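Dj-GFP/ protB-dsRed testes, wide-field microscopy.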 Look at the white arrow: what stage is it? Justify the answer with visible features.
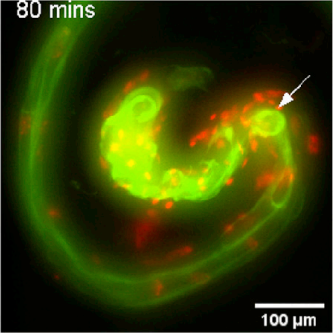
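Coiling of spermatid tails. The arrow points to a looped, curled green structure at the end of long thin green tails. Long thin green strands curve around the coiled mass of the testis.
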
